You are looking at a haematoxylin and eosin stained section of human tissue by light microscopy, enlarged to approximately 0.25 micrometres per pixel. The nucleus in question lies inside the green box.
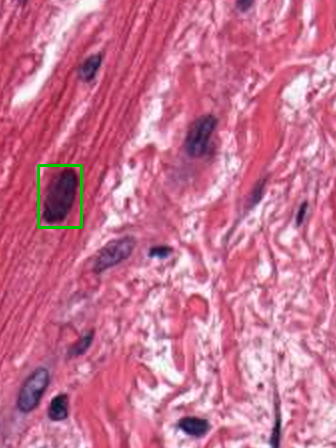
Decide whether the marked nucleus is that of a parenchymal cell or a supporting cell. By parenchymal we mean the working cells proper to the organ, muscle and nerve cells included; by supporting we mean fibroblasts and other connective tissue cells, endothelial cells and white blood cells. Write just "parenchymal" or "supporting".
parenchymal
